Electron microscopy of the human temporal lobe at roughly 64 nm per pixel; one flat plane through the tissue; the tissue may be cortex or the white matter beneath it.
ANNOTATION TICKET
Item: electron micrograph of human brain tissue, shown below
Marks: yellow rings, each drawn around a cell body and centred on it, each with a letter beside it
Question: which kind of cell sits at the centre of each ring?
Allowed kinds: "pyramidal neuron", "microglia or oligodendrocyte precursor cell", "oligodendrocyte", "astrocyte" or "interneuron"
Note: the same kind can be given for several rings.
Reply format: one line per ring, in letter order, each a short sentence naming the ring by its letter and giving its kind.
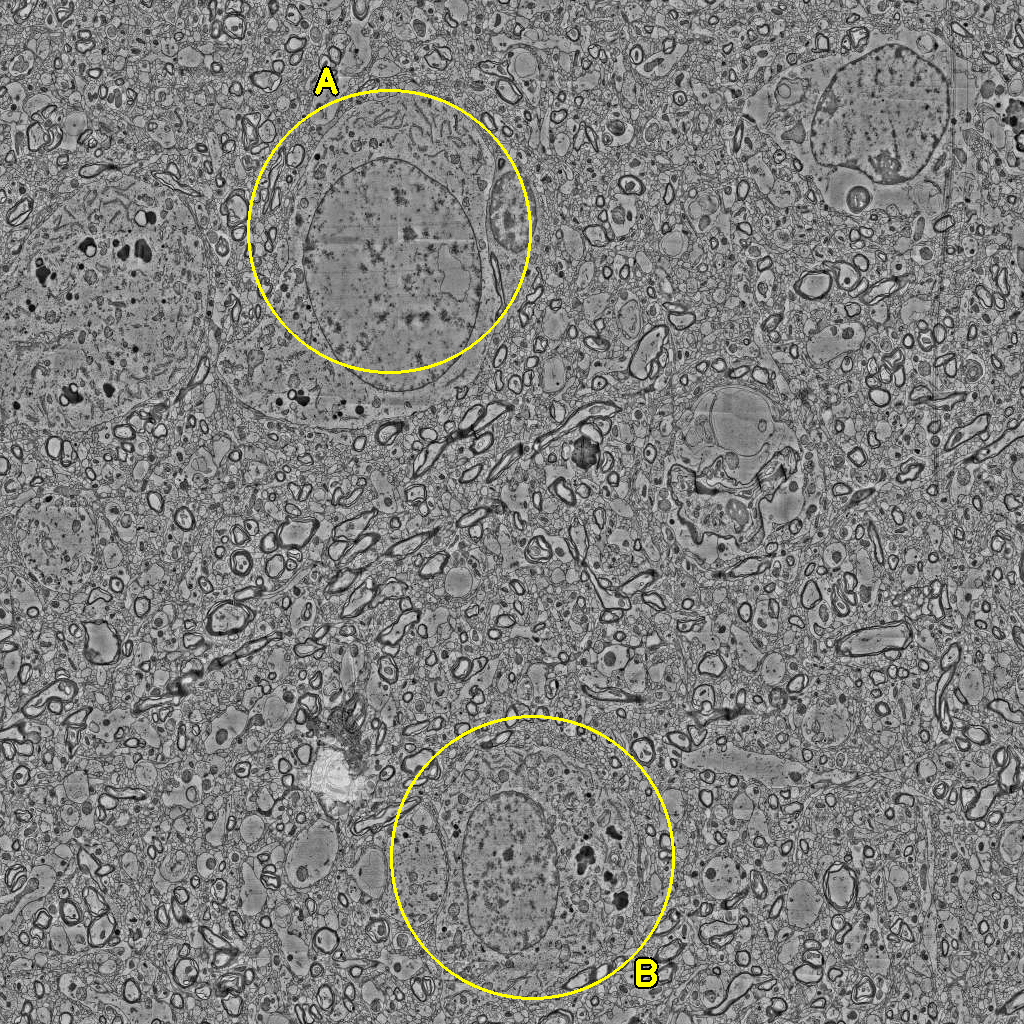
The cell at the centre of ring A is a pyramidal neuron.
The cell at the centre of ring B is an interneuron.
